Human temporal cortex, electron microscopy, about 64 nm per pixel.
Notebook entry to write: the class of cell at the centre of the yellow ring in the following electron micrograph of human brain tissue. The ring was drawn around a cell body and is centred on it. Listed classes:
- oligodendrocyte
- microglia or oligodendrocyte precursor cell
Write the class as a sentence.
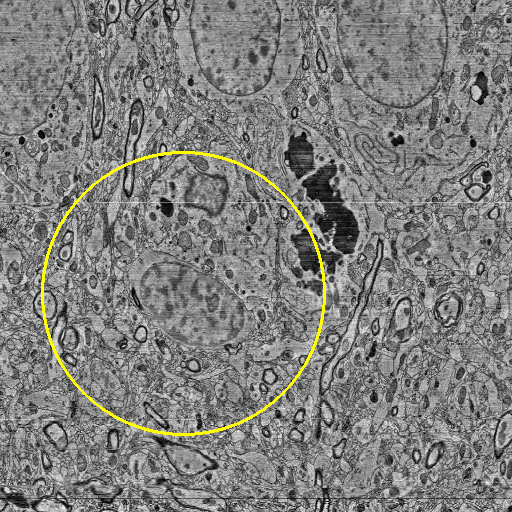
The yellow ring sits on an oligodendrocyte.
